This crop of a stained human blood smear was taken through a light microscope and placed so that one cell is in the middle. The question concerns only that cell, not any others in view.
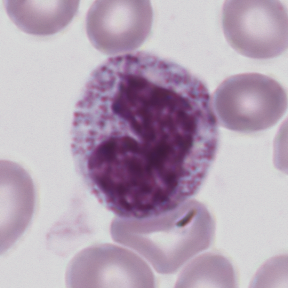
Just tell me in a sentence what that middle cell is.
The centrally positioned cell in the crop represents a band neutrophil.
